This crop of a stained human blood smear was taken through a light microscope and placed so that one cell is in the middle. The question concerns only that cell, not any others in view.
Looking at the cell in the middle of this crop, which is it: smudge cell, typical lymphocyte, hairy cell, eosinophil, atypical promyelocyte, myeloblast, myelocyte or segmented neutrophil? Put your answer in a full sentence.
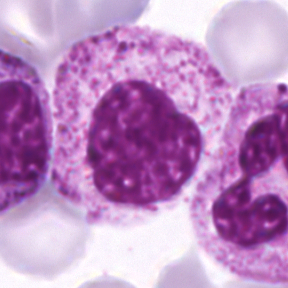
As for the central cell, it is a myelocyte.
